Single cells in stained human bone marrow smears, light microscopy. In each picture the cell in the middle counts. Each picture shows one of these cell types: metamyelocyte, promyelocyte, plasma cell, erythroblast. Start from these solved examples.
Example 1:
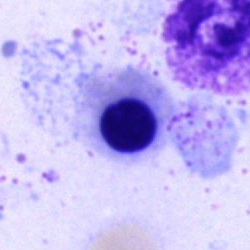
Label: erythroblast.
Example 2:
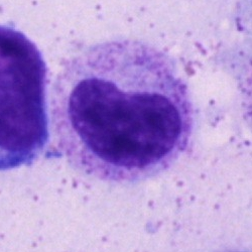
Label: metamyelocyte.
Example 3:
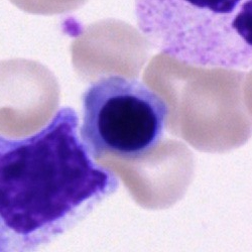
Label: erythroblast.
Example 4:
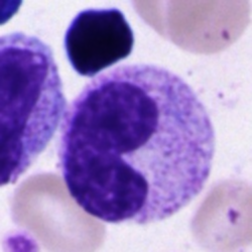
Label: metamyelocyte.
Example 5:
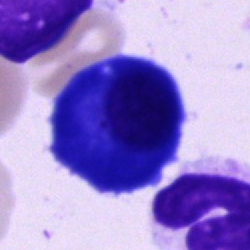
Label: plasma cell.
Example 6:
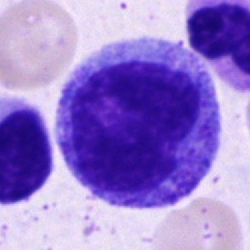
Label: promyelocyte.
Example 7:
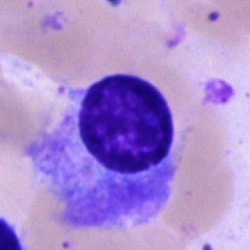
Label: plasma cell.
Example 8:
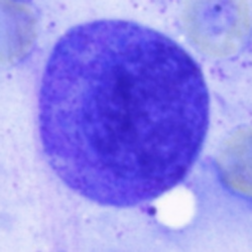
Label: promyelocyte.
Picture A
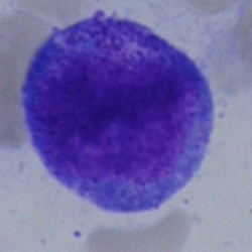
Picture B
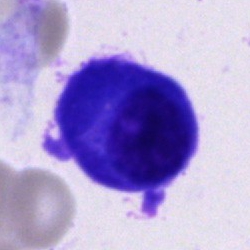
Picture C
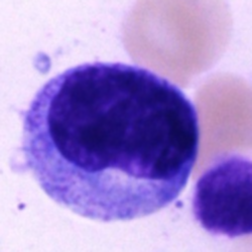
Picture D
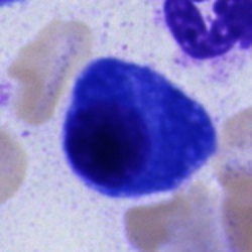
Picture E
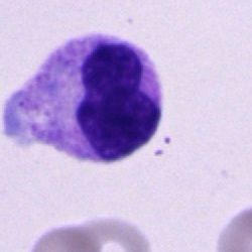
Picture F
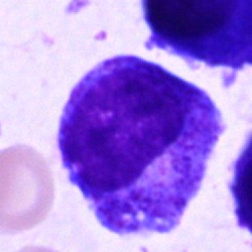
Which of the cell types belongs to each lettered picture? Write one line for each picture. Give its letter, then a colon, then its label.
A: promyelocyte.
B: plasma cell.
C: promyelocyte.
D: plasma cell.
E: metamyelocyte.
F: promyelocyte.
